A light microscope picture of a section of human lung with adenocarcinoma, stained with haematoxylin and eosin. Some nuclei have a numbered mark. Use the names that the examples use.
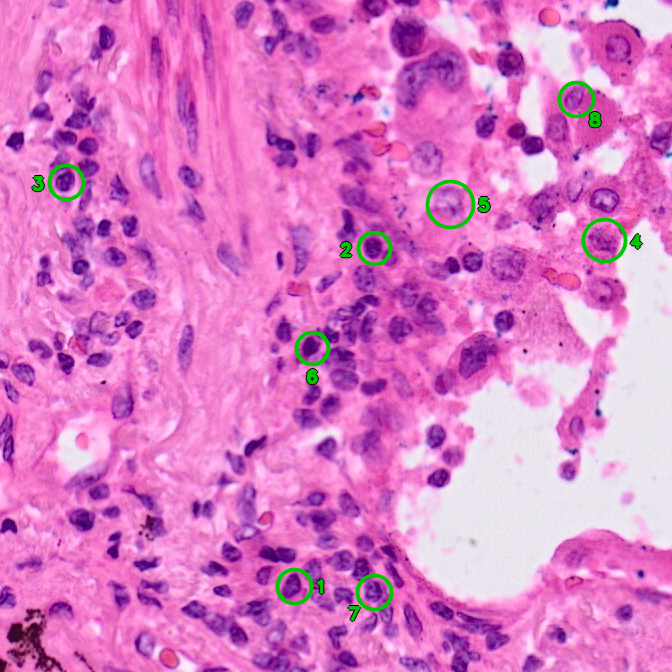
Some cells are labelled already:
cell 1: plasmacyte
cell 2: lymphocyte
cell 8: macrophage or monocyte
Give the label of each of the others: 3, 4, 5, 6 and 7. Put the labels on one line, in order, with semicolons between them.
lymphocyte; macrophage or monocyte; macrophage or monocyte; plasmacyte; lymphocyte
